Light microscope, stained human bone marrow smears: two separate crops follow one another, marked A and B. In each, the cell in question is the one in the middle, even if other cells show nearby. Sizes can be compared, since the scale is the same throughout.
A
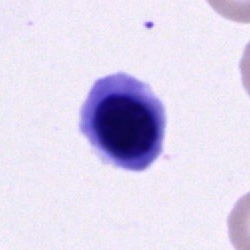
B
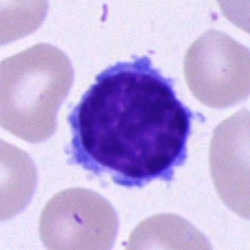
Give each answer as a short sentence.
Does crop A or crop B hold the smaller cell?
Smaller is the cell in crop A, and the other is about 2 times as large in area.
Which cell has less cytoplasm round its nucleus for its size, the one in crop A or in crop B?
Of the two, the nucleus in crop B makes up the greater part of its cell.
